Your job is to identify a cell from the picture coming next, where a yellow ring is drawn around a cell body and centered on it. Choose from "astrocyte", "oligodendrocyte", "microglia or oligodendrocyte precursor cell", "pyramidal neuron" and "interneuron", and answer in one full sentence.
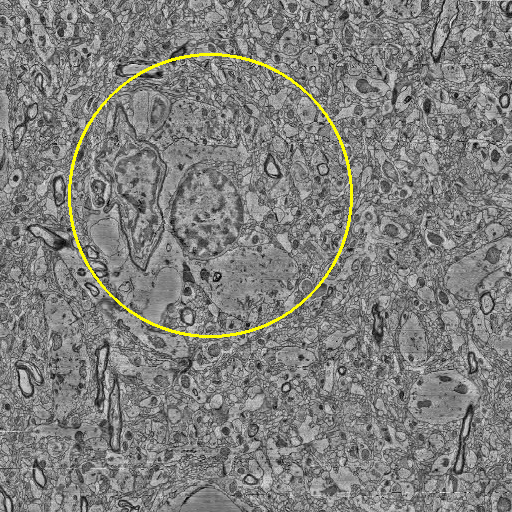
Centered in the yellow ring of the picture is the body of an oligodendrocyte.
